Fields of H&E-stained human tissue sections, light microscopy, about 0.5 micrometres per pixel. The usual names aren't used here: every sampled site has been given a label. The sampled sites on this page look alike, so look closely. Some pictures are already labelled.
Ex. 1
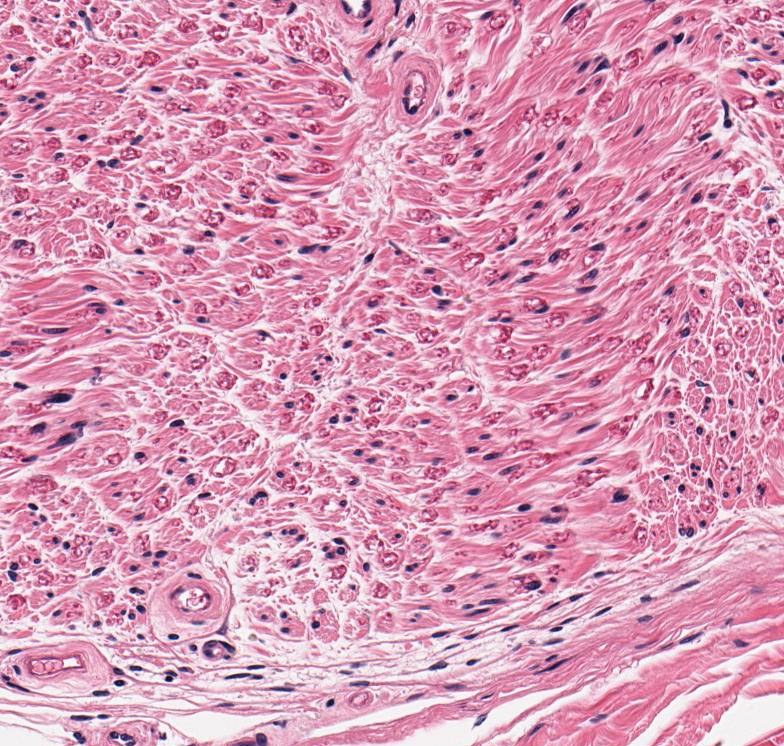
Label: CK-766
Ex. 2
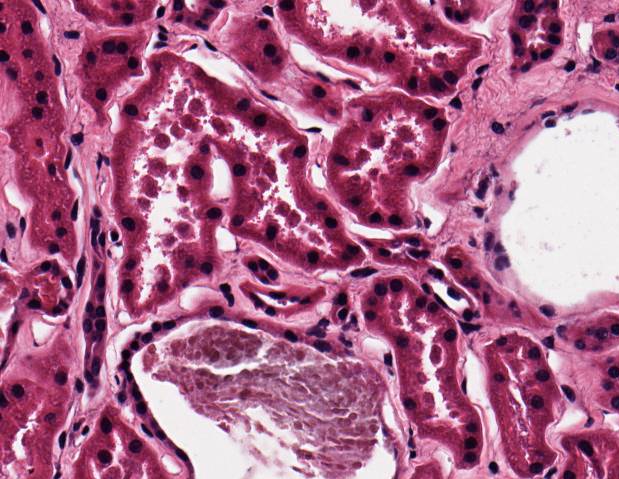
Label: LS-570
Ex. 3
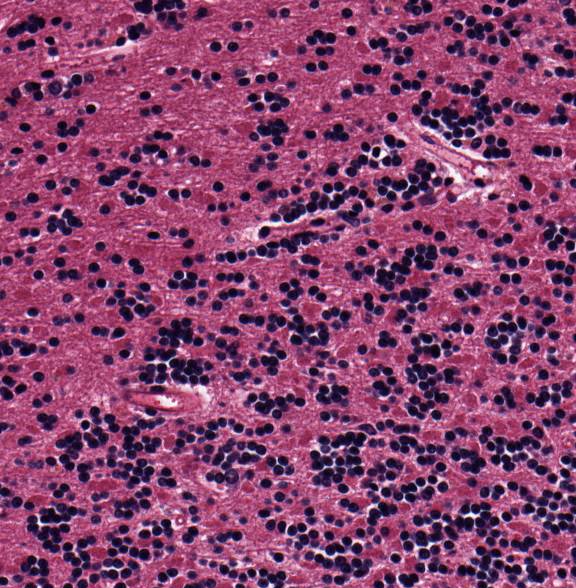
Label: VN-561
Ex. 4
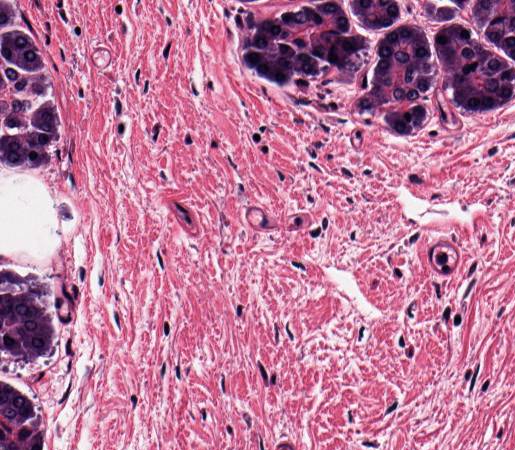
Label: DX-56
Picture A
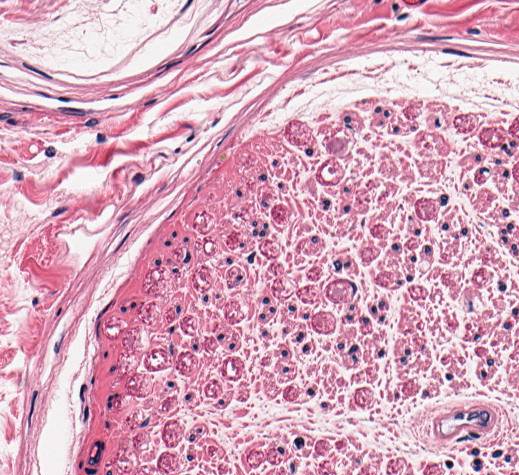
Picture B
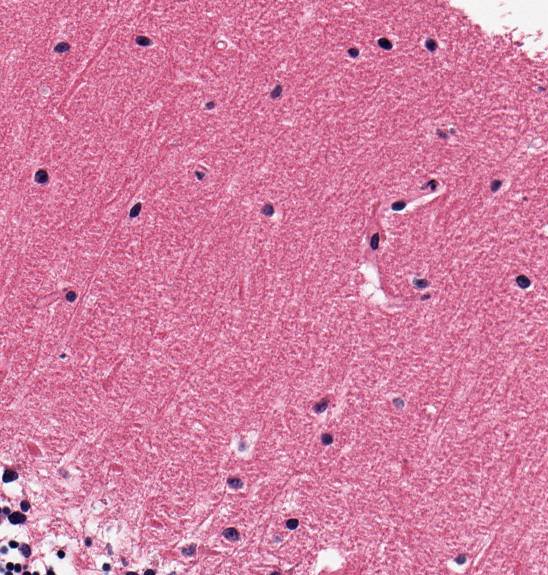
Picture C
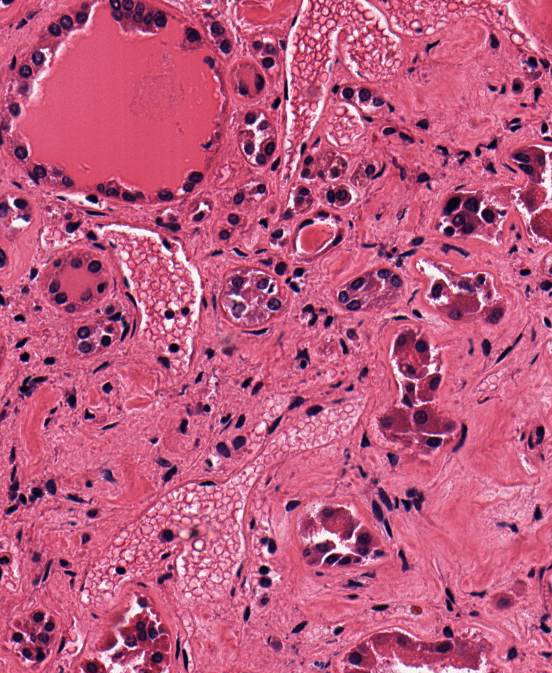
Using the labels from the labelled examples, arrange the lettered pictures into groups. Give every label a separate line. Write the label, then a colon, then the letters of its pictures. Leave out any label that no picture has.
CK-766: A
LS-570: C
VN-561: B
